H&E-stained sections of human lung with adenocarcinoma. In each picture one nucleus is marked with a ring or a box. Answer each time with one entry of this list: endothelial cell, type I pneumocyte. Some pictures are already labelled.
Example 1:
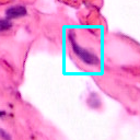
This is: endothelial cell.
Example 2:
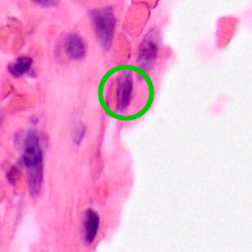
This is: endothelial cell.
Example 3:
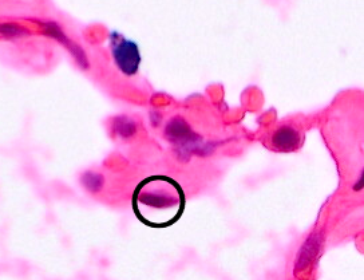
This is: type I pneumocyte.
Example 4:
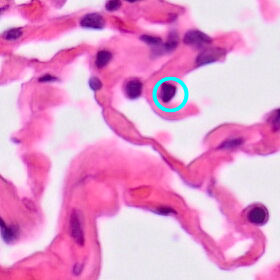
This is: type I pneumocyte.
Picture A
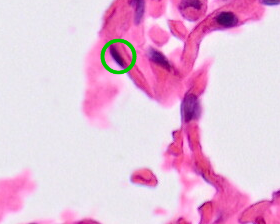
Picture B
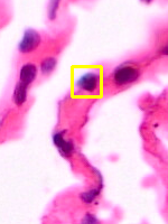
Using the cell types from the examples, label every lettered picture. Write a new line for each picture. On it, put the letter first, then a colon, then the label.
A: endothelial cell.
B: type I pneumocyte.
